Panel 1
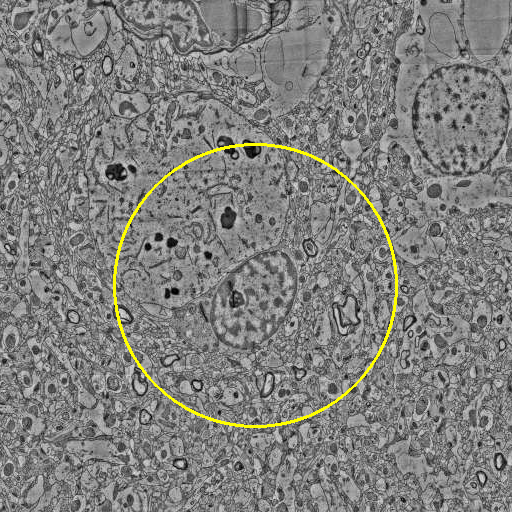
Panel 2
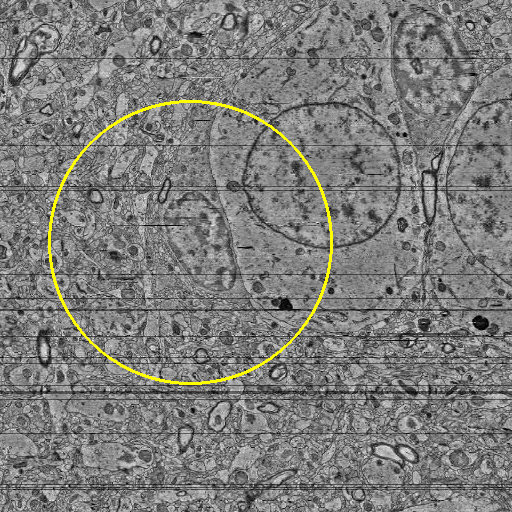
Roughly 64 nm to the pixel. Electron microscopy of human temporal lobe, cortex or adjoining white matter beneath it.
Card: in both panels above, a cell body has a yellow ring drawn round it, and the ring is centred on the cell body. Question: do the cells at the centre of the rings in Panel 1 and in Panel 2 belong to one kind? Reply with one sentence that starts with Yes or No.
Yes, the cells centred in the rings of Panel 1 and Panel 2 are one kind of cell.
